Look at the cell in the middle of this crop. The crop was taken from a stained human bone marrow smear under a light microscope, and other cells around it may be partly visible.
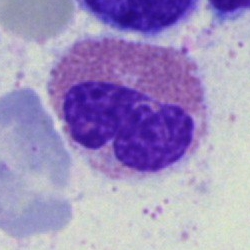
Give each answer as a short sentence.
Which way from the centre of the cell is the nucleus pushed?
The nucleus sits off-centre, toward the bottom.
